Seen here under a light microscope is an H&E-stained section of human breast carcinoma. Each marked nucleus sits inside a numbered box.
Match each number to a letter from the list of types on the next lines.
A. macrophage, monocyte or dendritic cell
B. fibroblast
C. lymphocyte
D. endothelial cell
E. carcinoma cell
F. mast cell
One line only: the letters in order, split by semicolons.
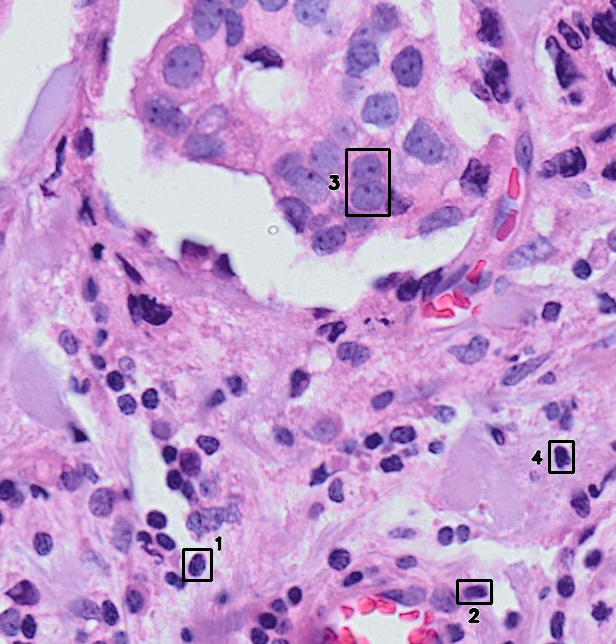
C; C; E; C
